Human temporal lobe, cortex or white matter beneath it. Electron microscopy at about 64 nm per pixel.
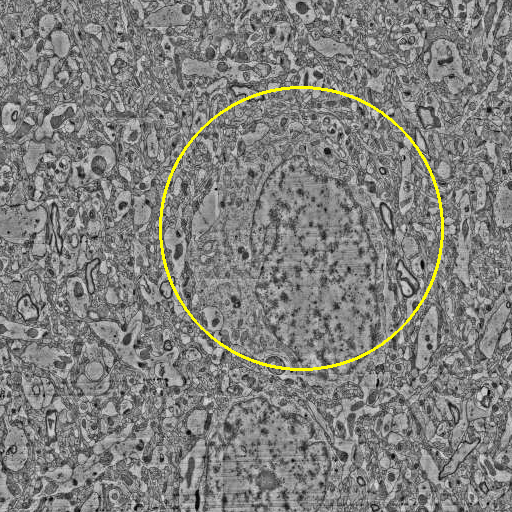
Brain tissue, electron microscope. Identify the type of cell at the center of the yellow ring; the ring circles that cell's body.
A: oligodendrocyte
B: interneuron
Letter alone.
B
